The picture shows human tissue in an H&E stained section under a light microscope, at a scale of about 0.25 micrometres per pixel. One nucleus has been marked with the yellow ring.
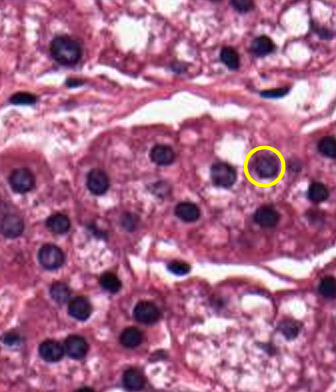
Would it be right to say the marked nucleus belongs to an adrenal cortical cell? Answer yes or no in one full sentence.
Yes, the marked nucleus is to be read as that of an adrenal cortical cell.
